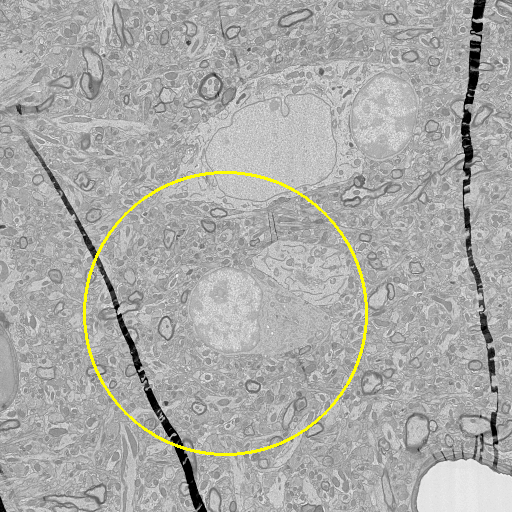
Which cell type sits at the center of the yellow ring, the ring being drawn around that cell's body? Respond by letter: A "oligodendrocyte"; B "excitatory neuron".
A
